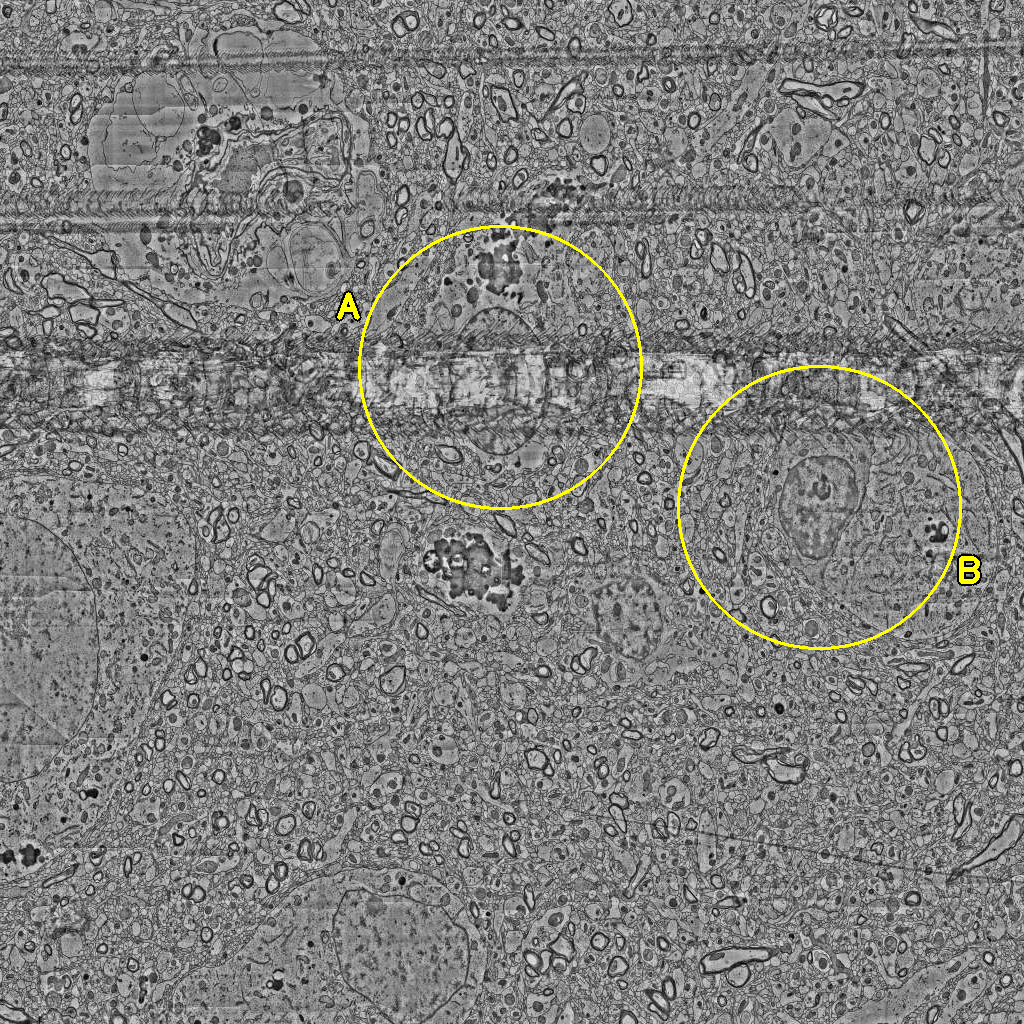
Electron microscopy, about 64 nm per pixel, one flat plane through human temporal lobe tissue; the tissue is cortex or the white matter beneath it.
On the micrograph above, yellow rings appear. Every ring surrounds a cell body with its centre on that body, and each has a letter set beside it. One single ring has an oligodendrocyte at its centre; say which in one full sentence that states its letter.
The answer is ring B, whose centre lies on the cell asked for.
